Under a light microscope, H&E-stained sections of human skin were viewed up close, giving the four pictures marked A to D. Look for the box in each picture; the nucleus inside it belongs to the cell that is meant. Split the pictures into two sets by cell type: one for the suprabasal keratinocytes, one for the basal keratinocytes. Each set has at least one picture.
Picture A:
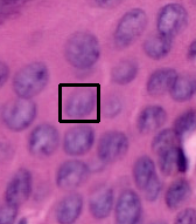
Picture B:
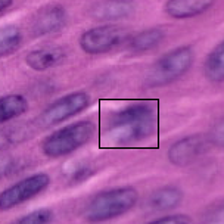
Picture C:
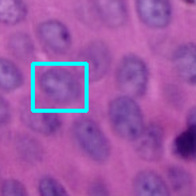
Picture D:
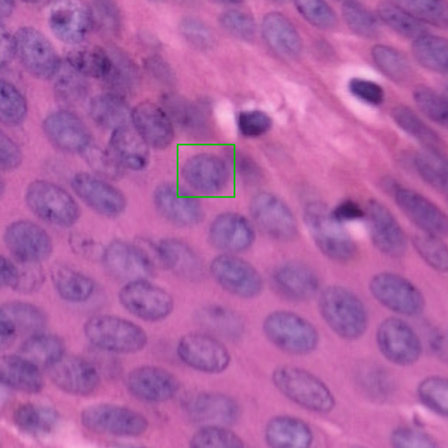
A: suprabasal keratinocyte
B: suprabasal keratinocyte
C: suprabasal keratinocyte
D: basal keratinocyte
